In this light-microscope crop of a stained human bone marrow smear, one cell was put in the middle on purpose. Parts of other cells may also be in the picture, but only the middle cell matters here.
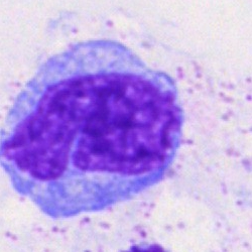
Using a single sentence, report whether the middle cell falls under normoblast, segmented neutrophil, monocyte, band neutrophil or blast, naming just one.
In the middle of this smear crop is a monocyte.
